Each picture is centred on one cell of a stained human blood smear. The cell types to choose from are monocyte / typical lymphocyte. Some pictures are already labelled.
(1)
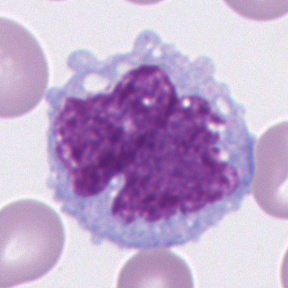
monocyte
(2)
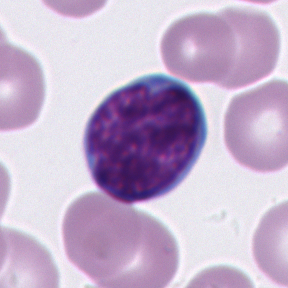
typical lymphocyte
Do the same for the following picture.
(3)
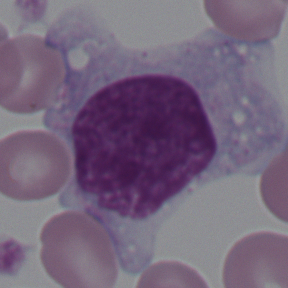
monocyte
